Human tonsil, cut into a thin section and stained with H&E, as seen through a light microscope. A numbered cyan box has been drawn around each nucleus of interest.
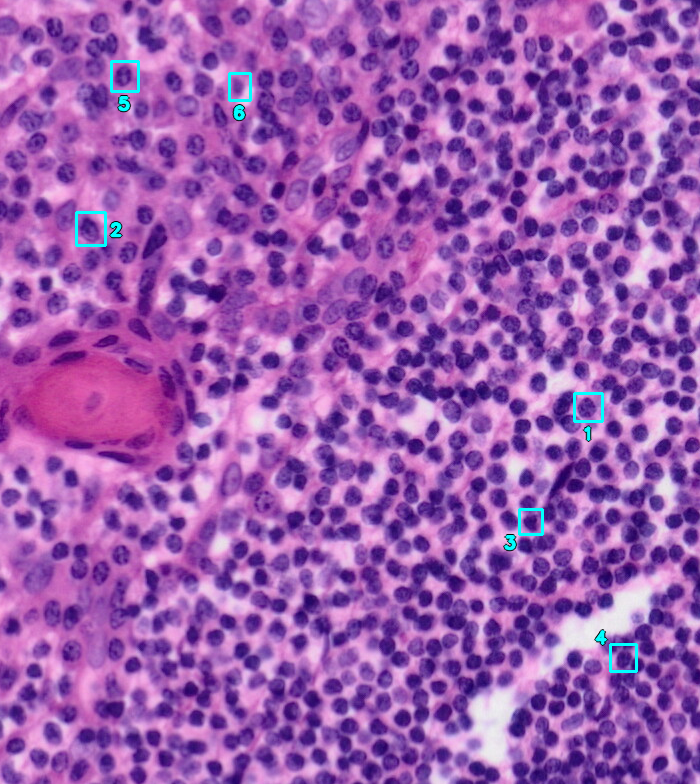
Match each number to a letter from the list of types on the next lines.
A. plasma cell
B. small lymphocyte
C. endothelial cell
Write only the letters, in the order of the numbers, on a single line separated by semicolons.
B; A; B; B; A; A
